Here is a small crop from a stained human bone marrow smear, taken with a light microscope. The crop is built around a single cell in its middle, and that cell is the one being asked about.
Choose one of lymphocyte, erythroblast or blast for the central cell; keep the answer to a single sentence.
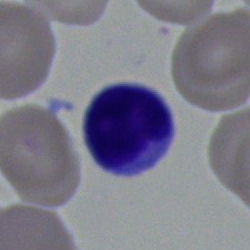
The target cell in the middle of the crop is a lymphocyte.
